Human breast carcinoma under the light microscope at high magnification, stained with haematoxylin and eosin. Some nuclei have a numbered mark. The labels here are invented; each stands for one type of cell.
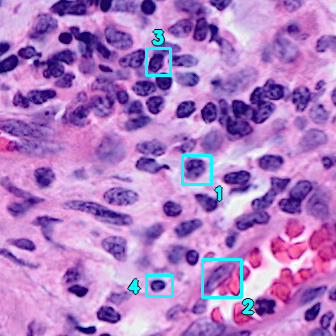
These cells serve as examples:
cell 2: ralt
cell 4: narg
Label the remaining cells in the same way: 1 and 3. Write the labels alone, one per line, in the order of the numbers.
narg
narg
